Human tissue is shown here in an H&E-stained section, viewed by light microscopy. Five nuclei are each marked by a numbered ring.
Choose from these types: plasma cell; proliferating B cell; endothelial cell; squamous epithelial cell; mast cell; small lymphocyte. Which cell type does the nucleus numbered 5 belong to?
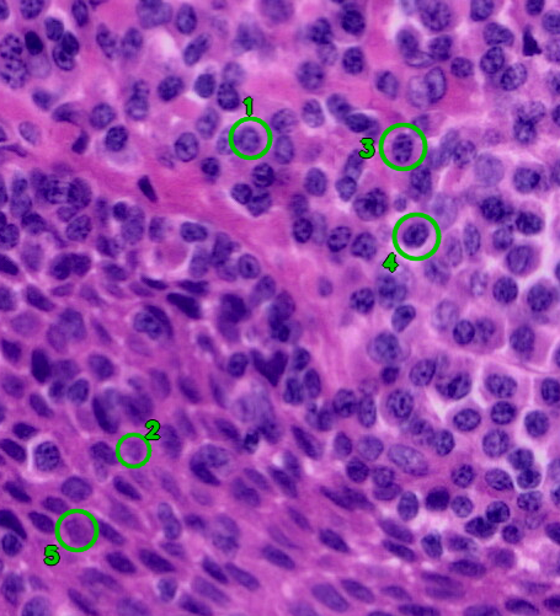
squamous epithelial cell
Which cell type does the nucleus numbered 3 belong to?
plasma cell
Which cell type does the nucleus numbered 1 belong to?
plasma cell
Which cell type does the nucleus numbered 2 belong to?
squamous epithelial cell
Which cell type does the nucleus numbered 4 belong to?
plasma cell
